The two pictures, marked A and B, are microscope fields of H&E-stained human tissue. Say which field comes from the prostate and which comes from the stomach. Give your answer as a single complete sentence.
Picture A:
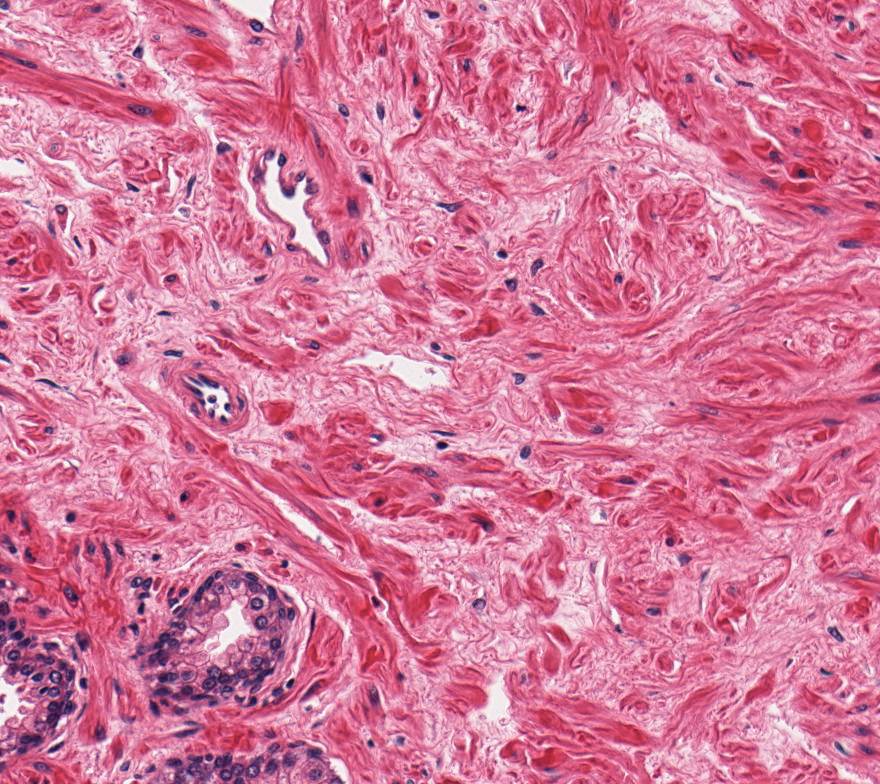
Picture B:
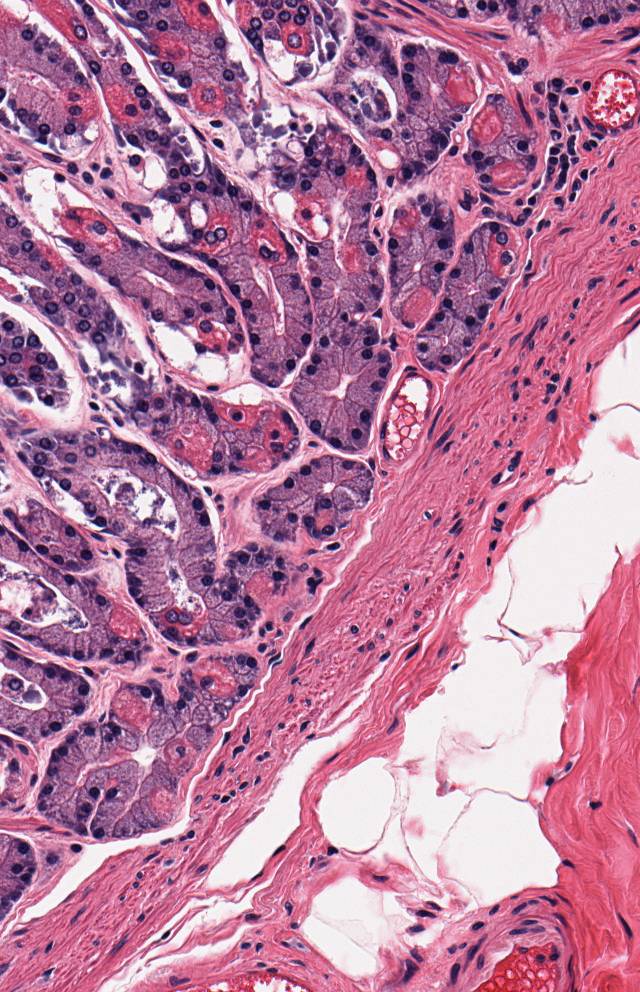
It is picture A that comes from the prostate, and picture B that comes from the stomach.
